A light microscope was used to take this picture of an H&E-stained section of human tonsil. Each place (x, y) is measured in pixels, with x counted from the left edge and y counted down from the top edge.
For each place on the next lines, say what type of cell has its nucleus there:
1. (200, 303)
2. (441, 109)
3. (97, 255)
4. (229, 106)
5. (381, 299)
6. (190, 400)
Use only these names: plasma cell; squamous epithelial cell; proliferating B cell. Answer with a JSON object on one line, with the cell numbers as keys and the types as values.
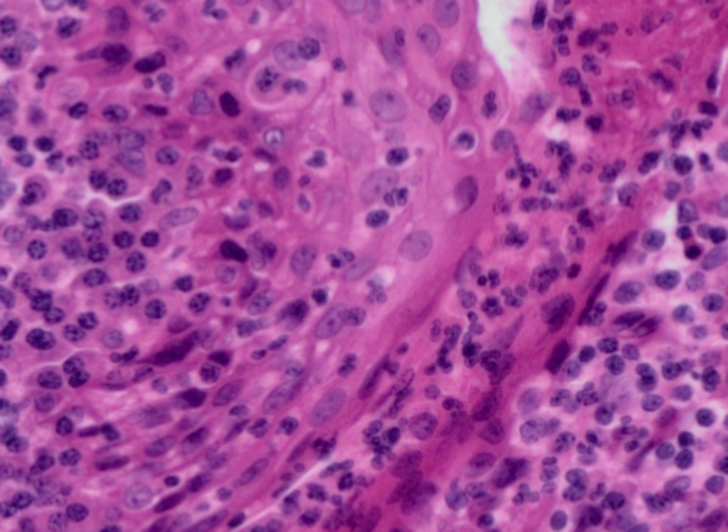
{"1": "plasma cell", "2": "squamous epithelial cell", "3": "plasma cell", "4": "squamous epithelial cell", "5": "squamous epithelial cell", "6": "squamous epithelial cell"}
